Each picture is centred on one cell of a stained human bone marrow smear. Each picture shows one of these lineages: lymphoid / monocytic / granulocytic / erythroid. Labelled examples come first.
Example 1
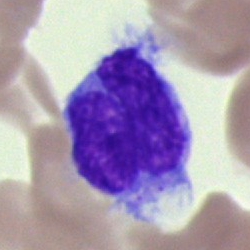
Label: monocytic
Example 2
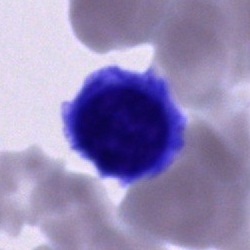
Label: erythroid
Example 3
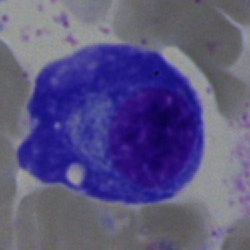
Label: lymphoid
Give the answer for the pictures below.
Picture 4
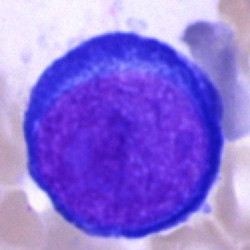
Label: erythroid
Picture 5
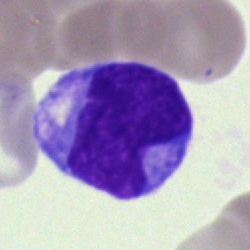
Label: monocytic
